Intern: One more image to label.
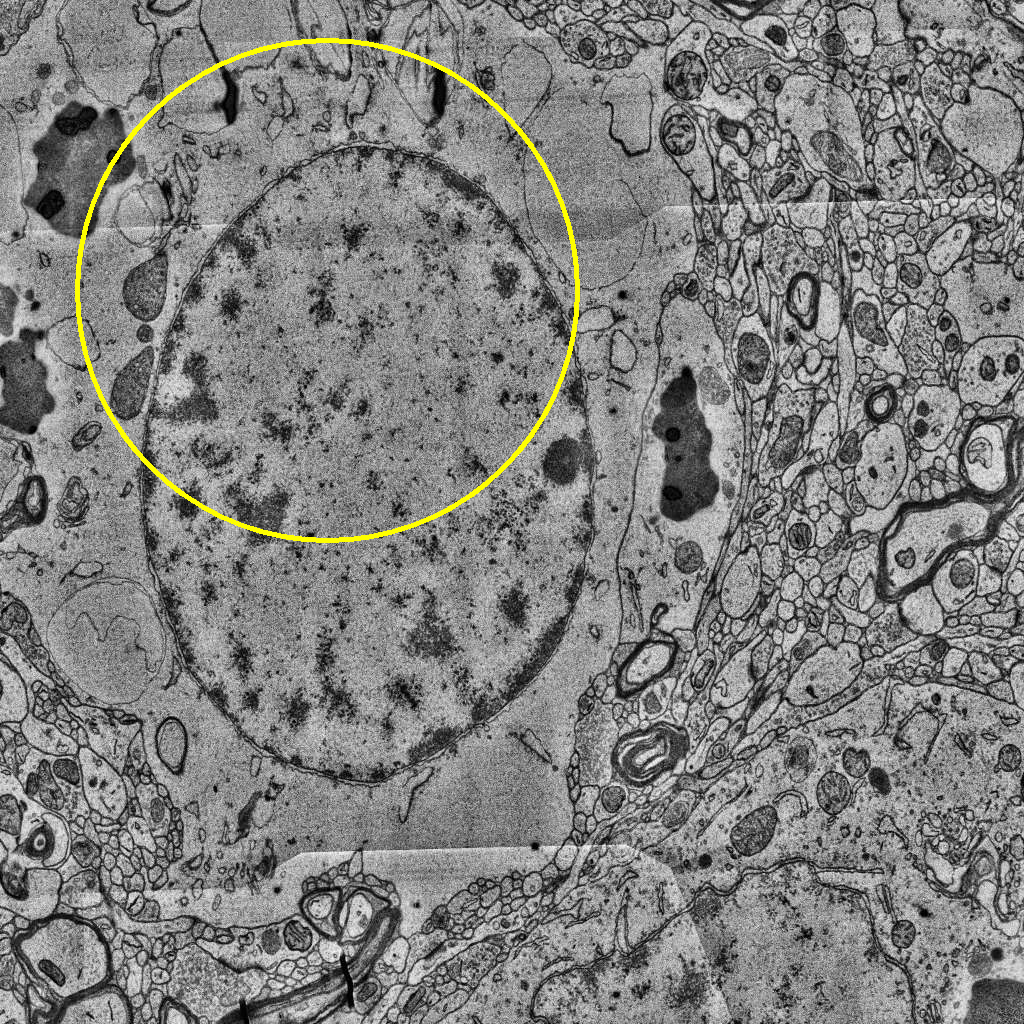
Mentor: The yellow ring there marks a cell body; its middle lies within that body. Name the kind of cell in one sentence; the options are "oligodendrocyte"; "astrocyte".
The ring marks the cell body of an astrocyte.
